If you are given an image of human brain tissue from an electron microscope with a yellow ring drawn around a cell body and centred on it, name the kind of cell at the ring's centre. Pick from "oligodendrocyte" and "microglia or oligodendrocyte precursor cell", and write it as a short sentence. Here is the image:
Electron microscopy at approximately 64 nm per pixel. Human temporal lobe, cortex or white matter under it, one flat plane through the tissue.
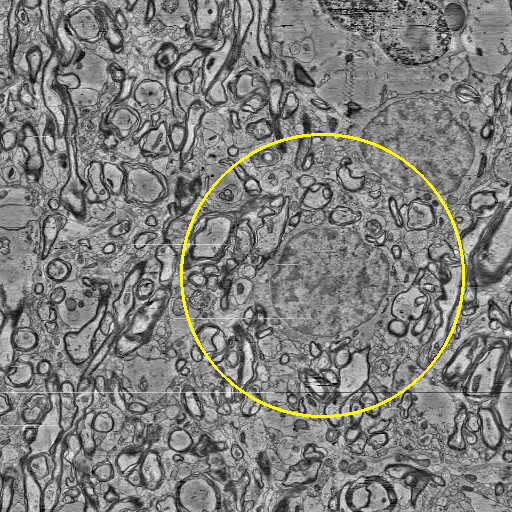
The cell at the ring's centre is an oligodendrocyte.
